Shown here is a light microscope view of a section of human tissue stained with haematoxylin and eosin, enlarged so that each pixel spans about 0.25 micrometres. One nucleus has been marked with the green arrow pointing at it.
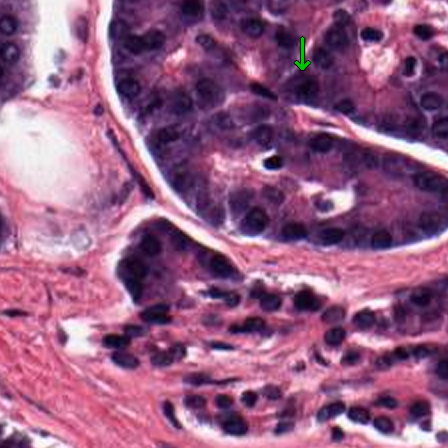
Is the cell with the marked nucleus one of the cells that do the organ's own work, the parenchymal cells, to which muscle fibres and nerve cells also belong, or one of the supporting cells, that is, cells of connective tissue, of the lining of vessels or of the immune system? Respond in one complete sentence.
The owner of the marked nucleus is a parenchymal cell, namely a pancreatic acinar cell.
